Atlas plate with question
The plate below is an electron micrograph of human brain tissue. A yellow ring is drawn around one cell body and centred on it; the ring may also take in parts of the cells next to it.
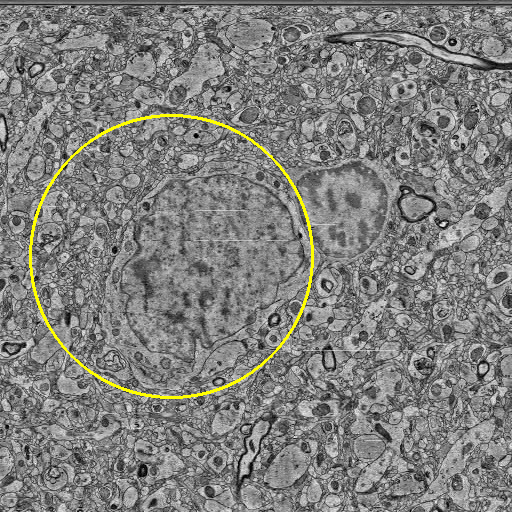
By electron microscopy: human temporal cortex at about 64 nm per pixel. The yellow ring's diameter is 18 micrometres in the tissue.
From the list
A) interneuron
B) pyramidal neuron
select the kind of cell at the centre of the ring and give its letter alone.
A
